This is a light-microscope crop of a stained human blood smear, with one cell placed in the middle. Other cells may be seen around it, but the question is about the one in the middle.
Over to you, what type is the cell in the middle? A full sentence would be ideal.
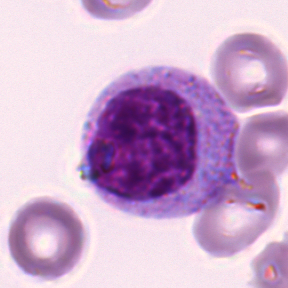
The crop shows a myelocyte in its centre.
